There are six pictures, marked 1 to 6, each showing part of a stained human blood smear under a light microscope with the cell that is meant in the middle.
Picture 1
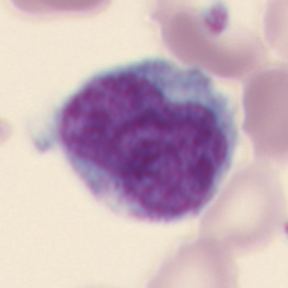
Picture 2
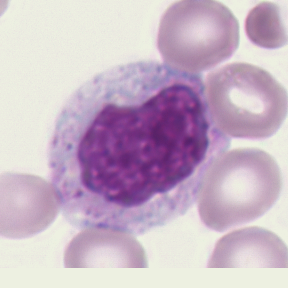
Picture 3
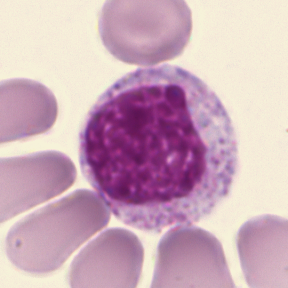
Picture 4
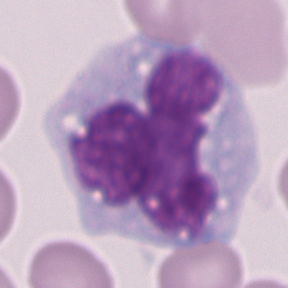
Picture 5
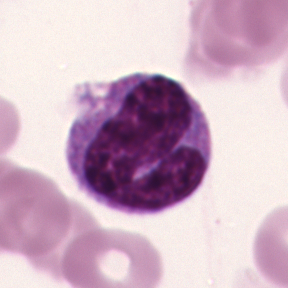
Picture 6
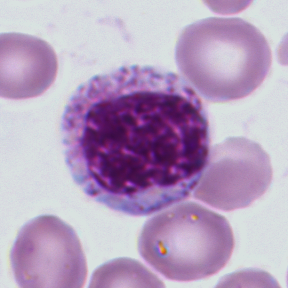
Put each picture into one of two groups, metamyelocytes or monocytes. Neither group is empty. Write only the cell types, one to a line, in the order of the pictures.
monocyte
metamyelocyte
metamyelocyte
monocyte
monocyte
metamyelocyte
